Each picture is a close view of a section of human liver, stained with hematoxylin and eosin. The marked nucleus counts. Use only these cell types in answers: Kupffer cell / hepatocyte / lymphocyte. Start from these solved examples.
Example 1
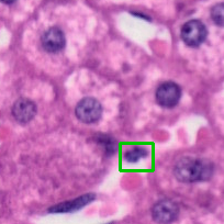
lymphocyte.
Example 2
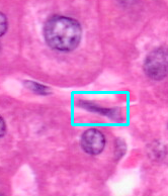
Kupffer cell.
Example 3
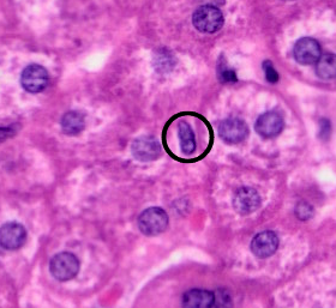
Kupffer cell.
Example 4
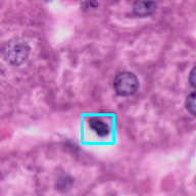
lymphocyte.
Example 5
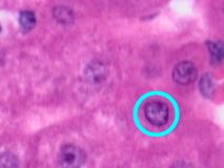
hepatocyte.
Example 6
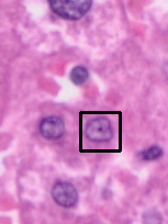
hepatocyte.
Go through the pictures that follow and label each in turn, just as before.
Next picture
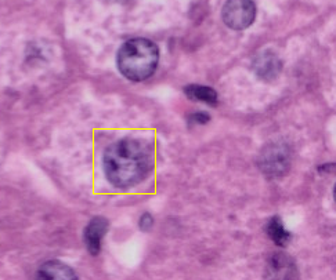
hepatocyte.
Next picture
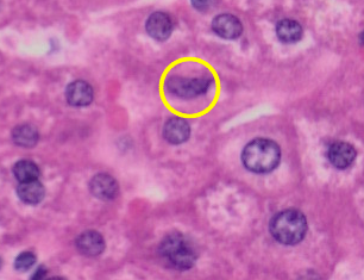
Kupffer cell.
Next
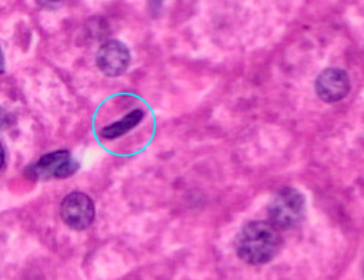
lymphocyte.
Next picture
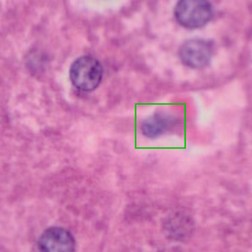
Kupffer cell.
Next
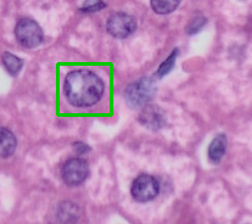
hepatocyte.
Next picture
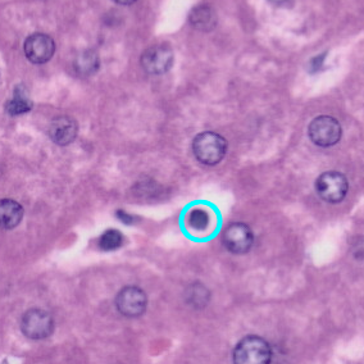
lymphocyte.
